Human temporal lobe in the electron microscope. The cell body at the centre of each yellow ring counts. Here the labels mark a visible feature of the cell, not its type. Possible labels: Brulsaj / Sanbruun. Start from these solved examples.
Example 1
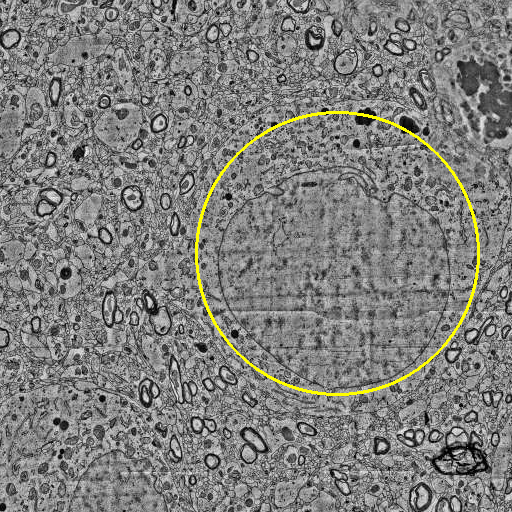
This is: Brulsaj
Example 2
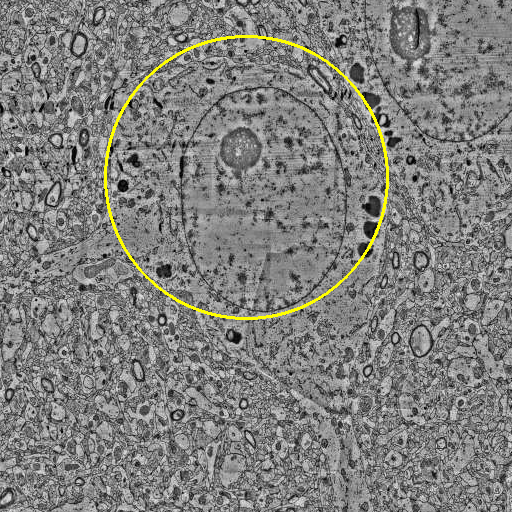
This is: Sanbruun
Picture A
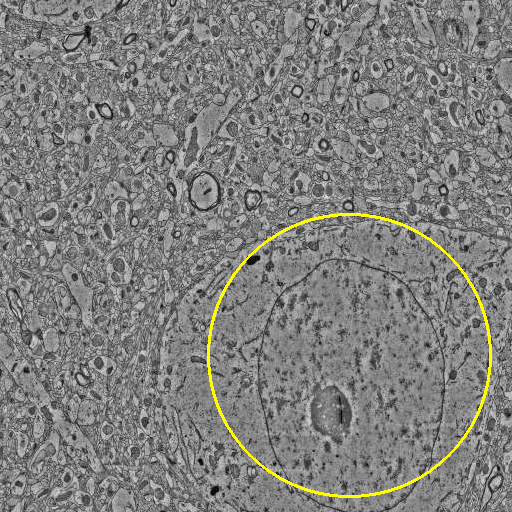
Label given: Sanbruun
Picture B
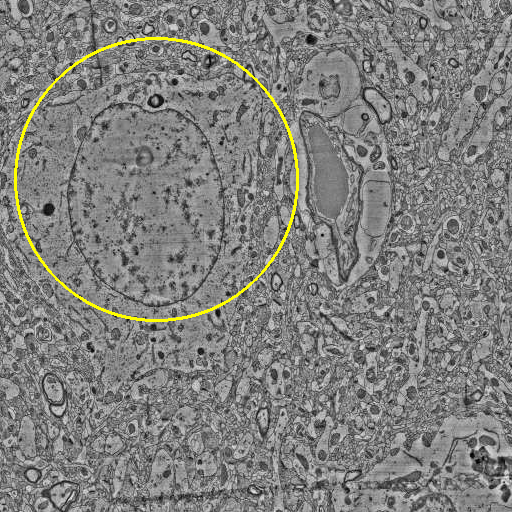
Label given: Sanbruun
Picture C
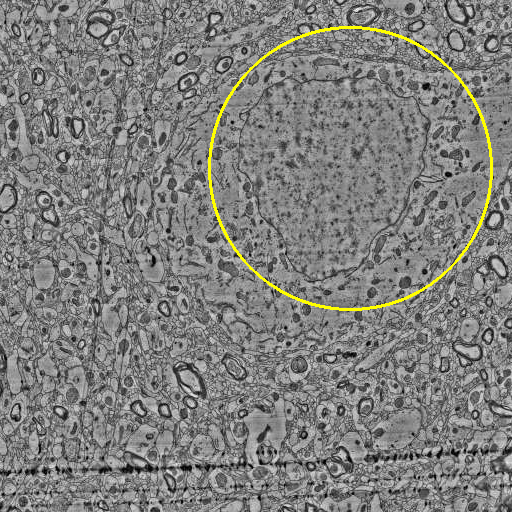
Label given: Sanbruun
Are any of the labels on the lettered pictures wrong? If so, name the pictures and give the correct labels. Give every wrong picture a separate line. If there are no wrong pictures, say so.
C: change Sanbruun to Brulsaj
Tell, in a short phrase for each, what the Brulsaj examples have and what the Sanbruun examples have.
Seen in Brulsaj: no nucleolus seen; seen in Sanbruun: nucleolus seen.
